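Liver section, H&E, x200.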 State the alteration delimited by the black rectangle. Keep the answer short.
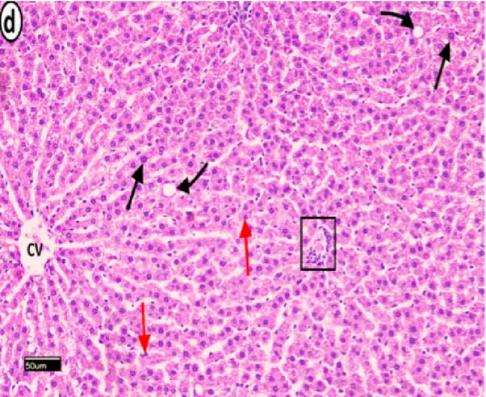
Mild inflammatory infiltration.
